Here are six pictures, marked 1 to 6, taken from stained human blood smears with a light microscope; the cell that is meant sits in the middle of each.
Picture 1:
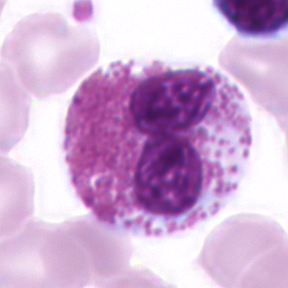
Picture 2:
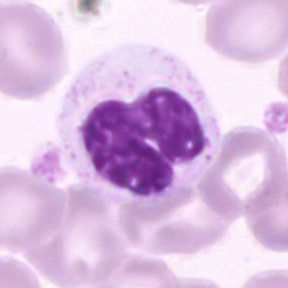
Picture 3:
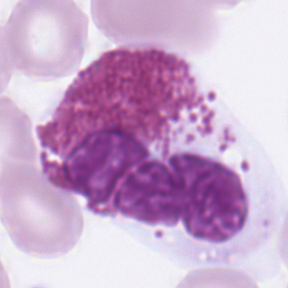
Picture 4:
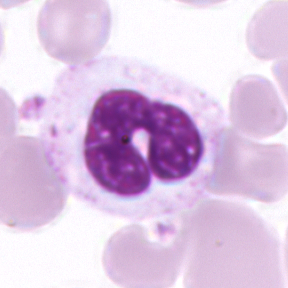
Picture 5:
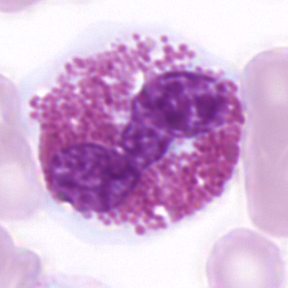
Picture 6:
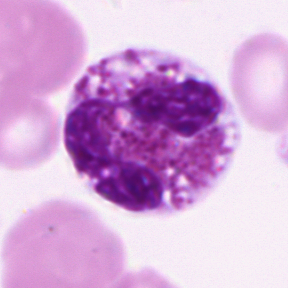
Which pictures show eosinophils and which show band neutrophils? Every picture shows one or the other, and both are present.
1: eosinophil
2: band neutrophil
3: eosinophil
4: band neutrophil
5: eosinophil
6: eosinophil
